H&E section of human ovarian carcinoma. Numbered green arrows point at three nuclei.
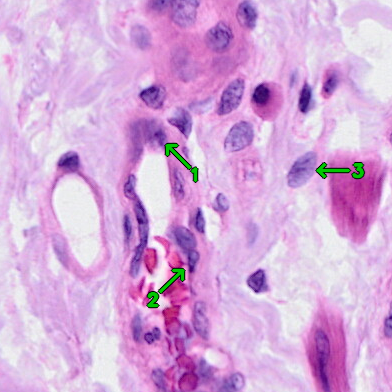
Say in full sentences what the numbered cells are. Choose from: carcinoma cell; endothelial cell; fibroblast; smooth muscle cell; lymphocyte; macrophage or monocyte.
Cells 1 and 2 are endothelial cells. Cell 3 is a fibroblast.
